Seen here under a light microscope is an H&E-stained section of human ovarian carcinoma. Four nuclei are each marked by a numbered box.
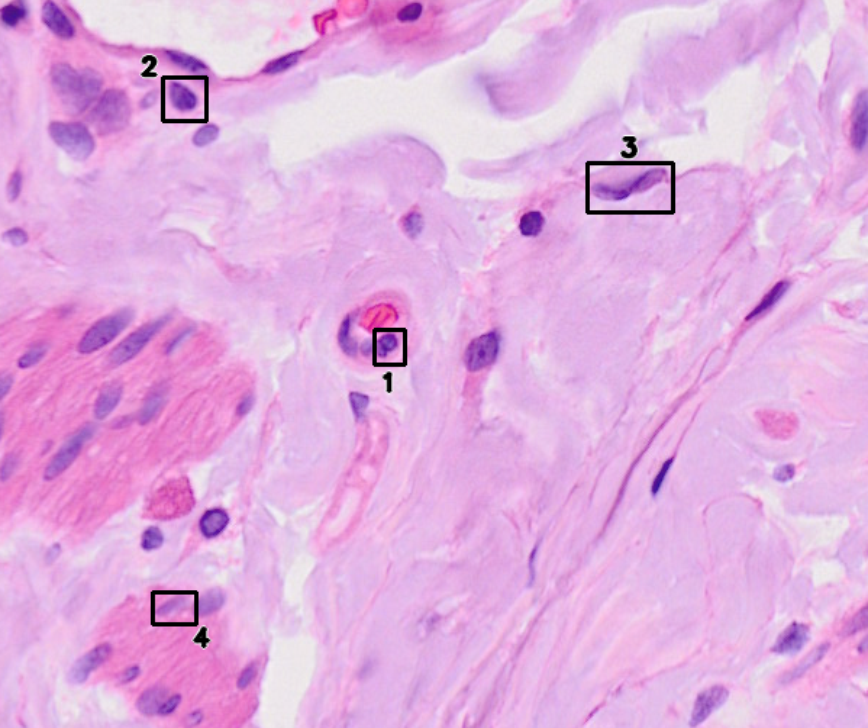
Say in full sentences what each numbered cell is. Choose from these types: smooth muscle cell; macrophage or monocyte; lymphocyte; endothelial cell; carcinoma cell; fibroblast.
Cell 1 is an endothelial cell, cell 2 is a lymphocyte, cell 3 is a fibroblast and cell 4 is a smooth muscle cell.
